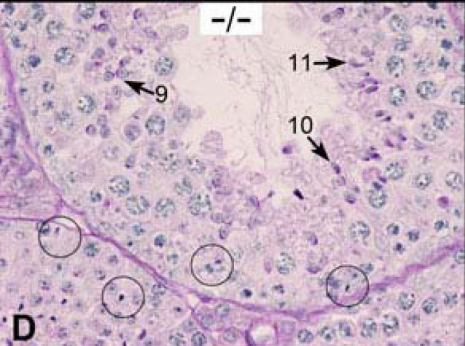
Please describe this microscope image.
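This is a cross-section of a seminiferous tubule with a stratified germinal epithelium resting on a thin pink basement membrane. Many large round nuclei with speckled chromatin fill the middle layers, and toward the open lumen there are small, dark, elongated spermatid nuclei. Several small, dark condensed nuclei also lie unusually close to the basement membrane at the edge of the tubule. The lumen contains pale, wispy material.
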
